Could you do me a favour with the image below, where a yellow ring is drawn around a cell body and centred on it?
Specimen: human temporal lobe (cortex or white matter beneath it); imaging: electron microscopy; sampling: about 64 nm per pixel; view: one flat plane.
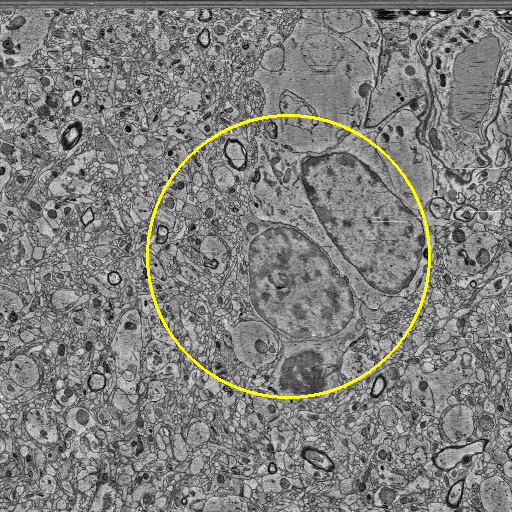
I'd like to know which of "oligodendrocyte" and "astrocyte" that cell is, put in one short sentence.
The cell at the ring's centre is an oligodendrocyte.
